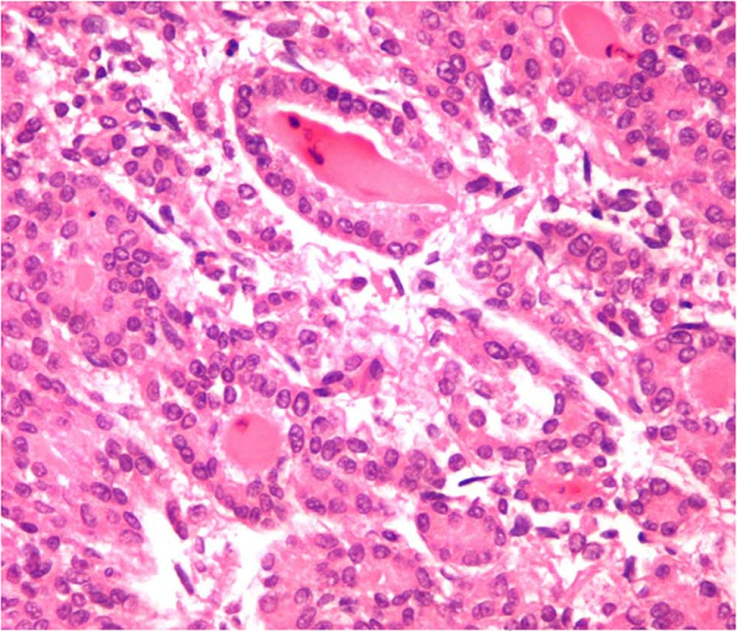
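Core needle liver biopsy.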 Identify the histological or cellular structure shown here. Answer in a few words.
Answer: Colloid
